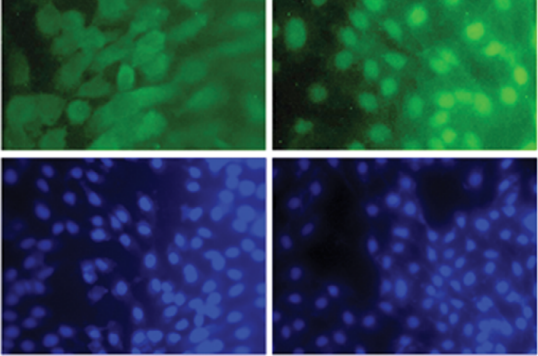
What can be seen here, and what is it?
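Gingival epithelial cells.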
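In the upper left image the green fills the cell bodies broadly, so outlines of polygonal and somewhat elongated cells can be made out, with the nucleus hardly brighter than the surrounding cytoplasm. In the upper right image the green is gathered into bright oval spots the size of nuclei, while the cytoplasm around them is dimmer, showing that the stained material now lies mostly in the nucleus.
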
